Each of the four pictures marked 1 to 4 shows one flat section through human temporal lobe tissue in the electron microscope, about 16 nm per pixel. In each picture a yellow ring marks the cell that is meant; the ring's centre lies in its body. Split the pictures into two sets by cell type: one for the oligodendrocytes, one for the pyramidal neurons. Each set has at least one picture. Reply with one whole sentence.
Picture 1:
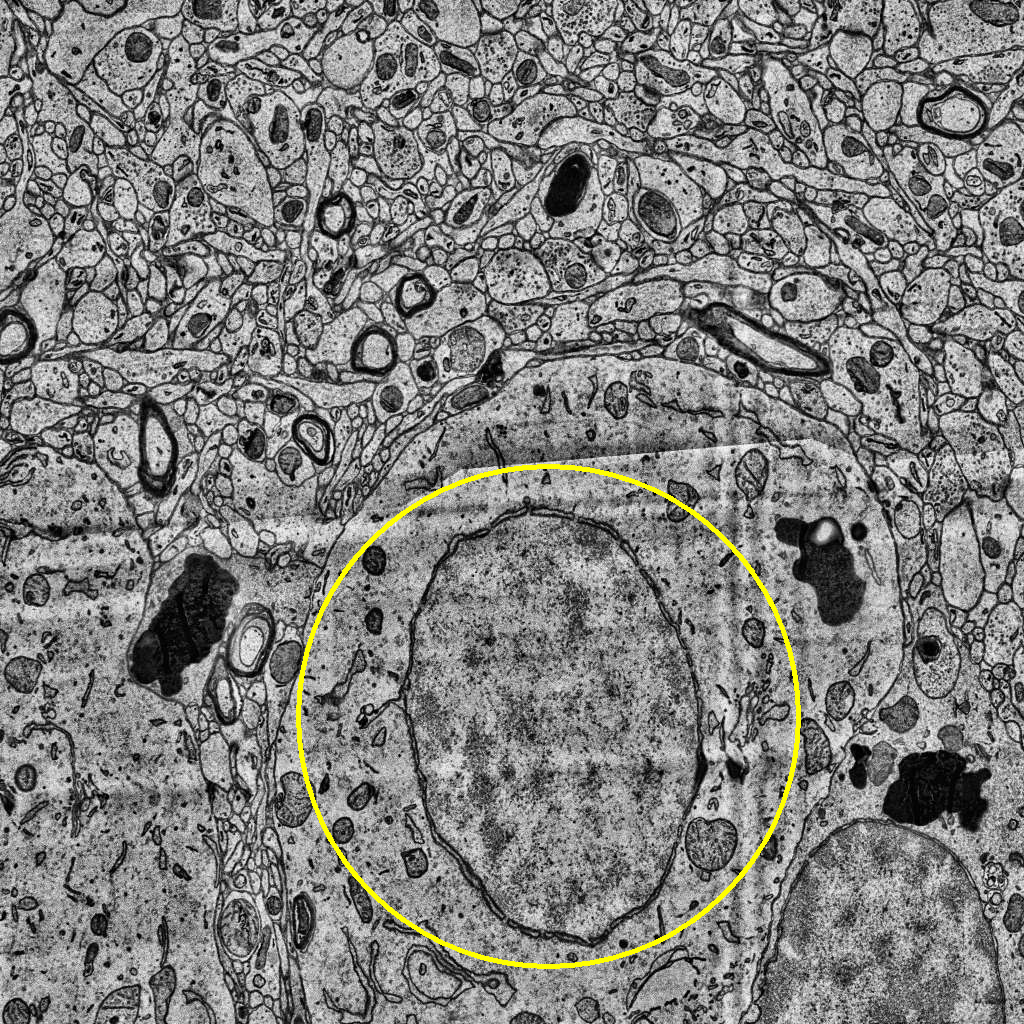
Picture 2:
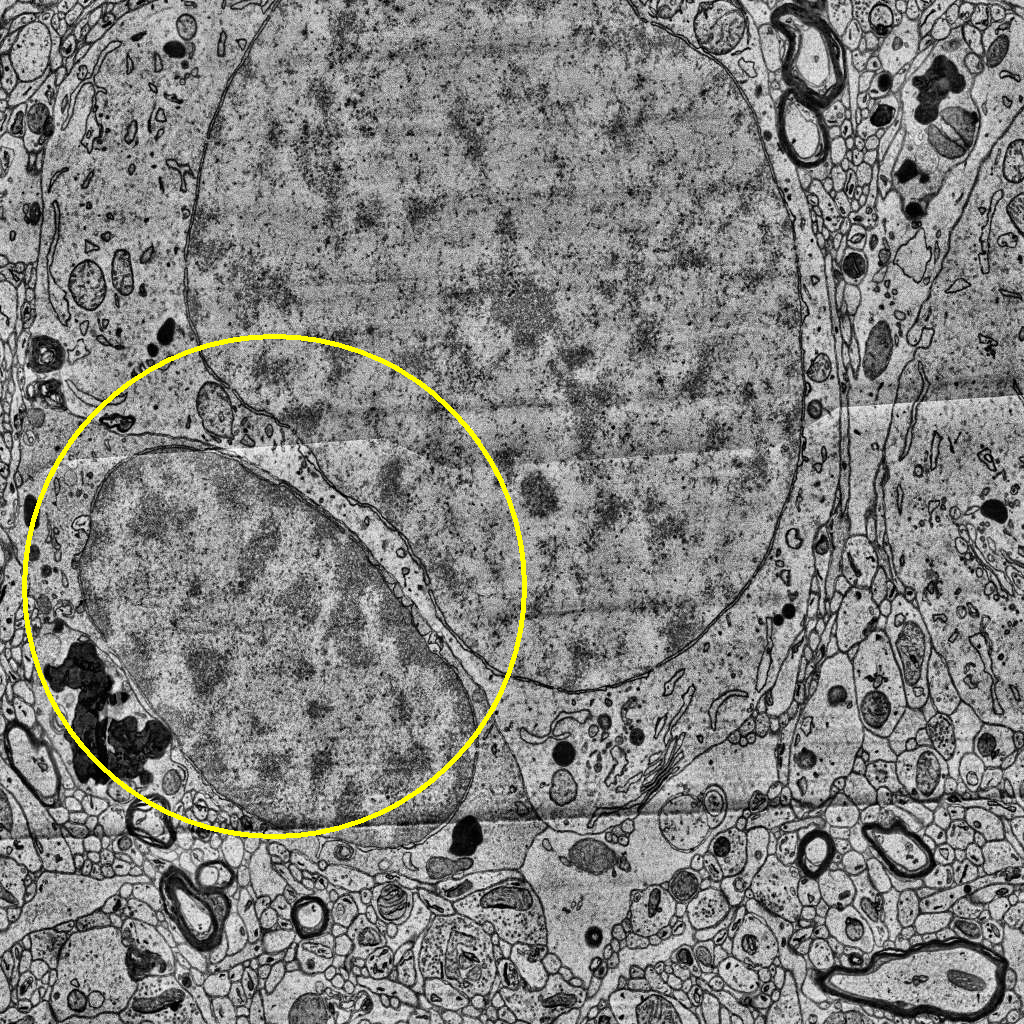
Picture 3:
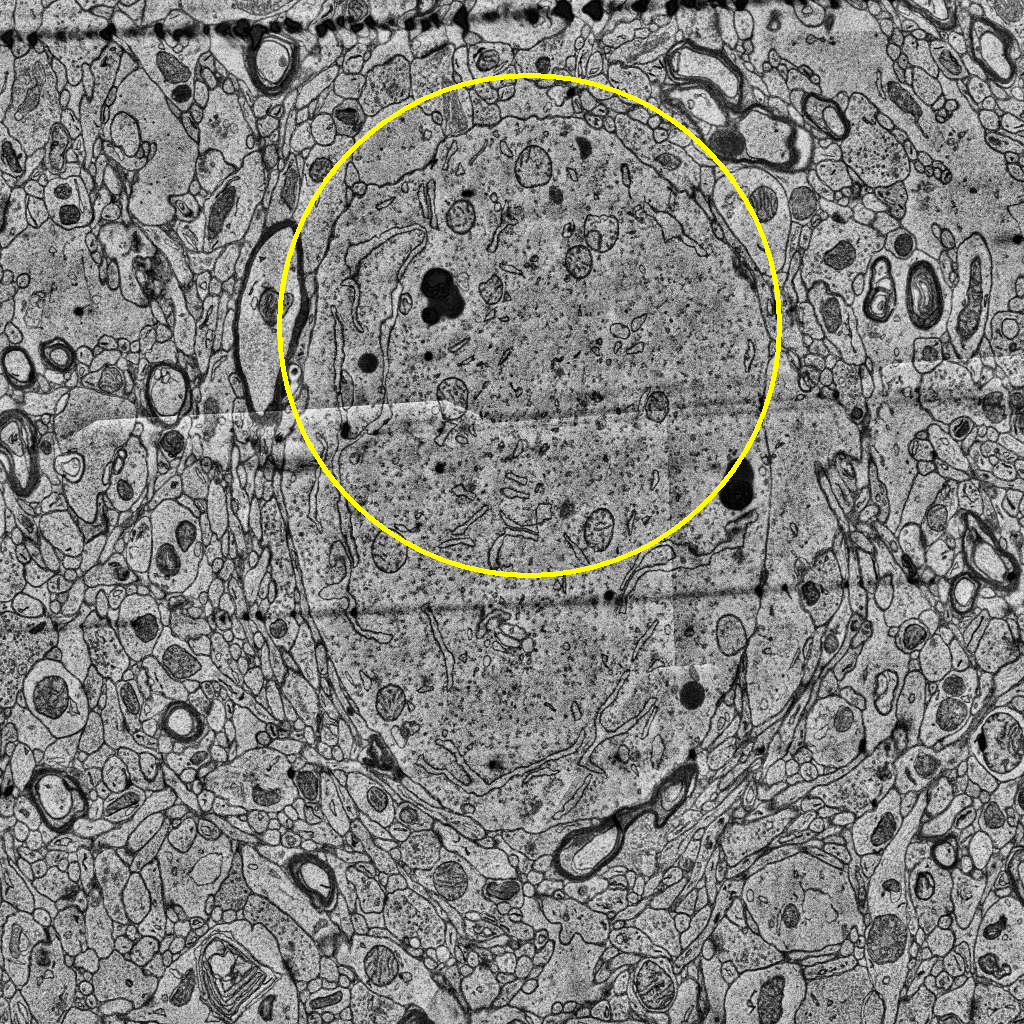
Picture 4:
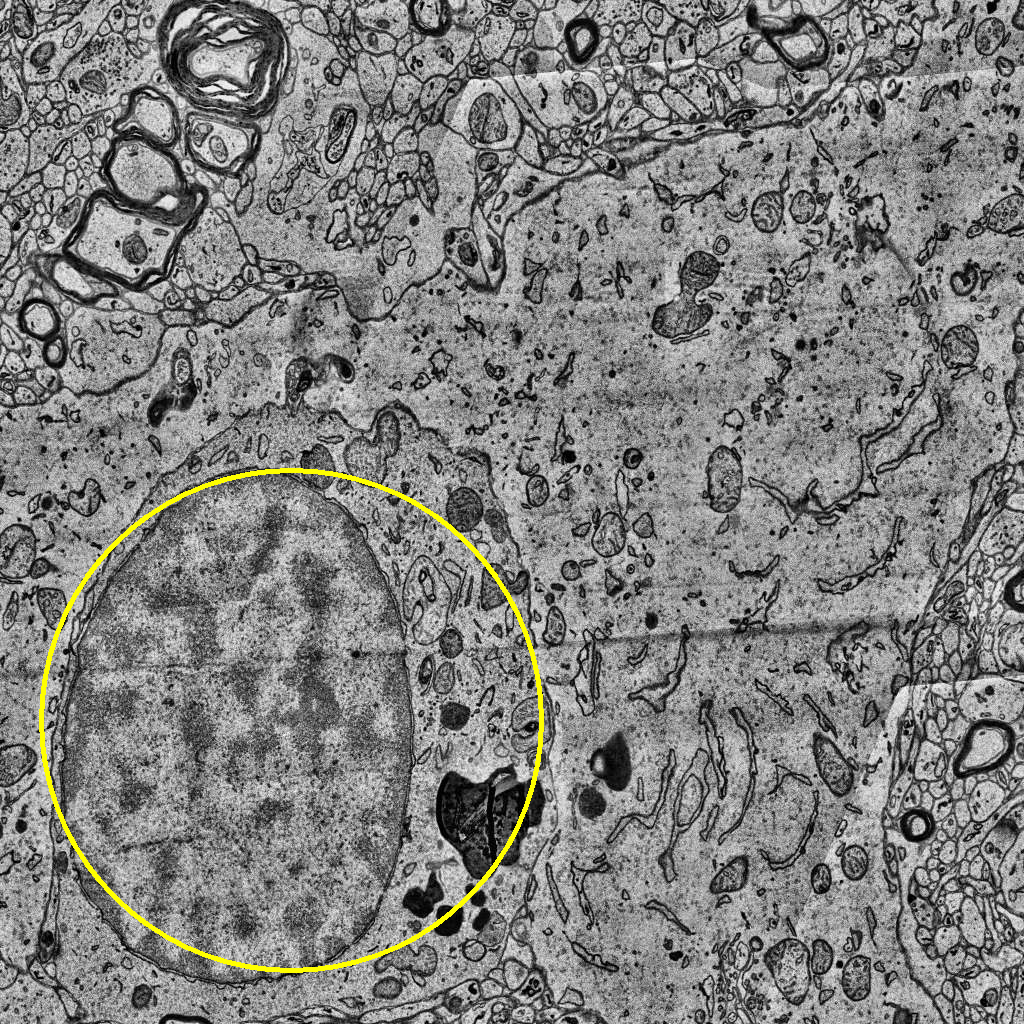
Pictures 2 and 4 show oligodendrocytes, while pictures 1 and 3 show pyramidal neurons.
